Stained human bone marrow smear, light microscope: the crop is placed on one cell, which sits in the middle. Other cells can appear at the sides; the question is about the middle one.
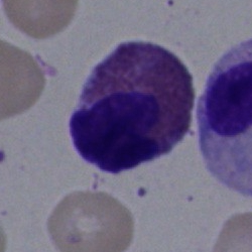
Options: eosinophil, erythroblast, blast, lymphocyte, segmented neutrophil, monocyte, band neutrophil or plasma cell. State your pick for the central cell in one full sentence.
Standing at the centre of this crop is an eosinophil.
